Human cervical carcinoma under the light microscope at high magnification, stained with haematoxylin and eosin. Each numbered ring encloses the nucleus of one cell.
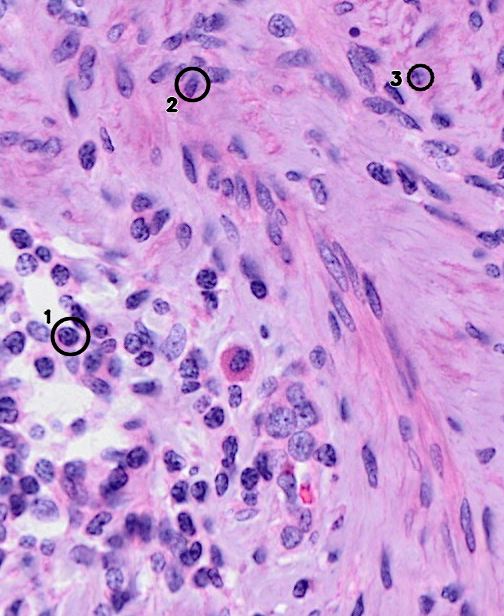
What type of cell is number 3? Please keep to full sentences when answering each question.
The cell numbered 3 represents a smooth muscle cell.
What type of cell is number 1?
The one labeled 1 is a lymphocyte, to put it simply.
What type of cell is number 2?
Of the numbered cells, the one labelled 2 is a smooth muscle cell.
